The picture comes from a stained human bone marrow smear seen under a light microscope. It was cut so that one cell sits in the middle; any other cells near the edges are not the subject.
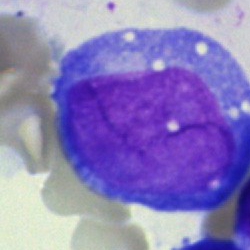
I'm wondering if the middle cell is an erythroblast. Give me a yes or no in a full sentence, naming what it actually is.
No, not an erythroblast here; the centered cell is a blast.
